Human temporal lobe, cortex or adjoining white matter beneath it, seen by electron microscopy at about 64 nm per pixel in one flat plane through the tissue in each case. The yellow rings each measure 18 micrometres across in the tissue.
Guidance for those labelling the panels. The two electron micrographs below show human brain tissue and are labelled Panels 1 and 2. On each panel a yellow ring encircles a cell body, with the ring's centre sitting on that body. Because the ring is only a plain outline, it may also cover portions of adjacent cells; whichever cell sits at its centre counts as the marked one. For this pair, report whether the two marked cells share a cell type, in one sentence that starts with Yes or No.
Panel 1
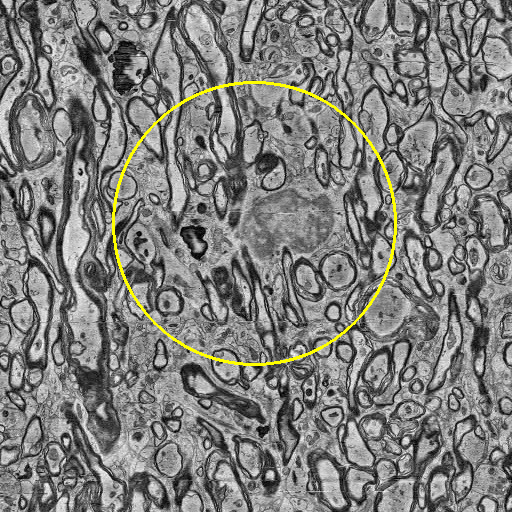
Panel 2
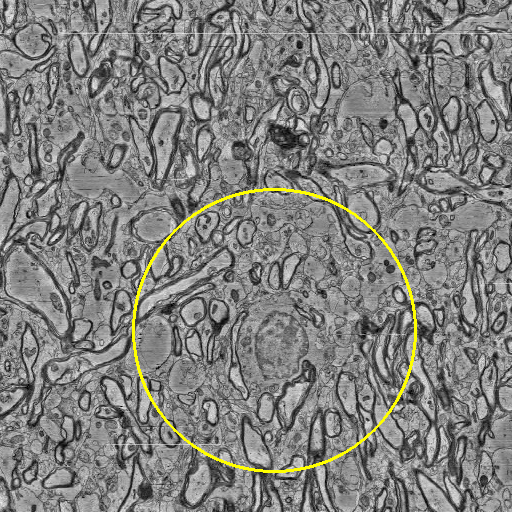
Yes, in Panel 1 and Panel 2 the marked cells at the ring centres share one type.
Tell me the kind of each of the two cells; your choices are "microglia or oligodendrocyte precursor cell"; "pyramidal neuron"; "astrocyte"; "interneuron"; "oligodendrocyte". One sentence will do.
Both pictures show an oligodendrocyte at the centre of the ring.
